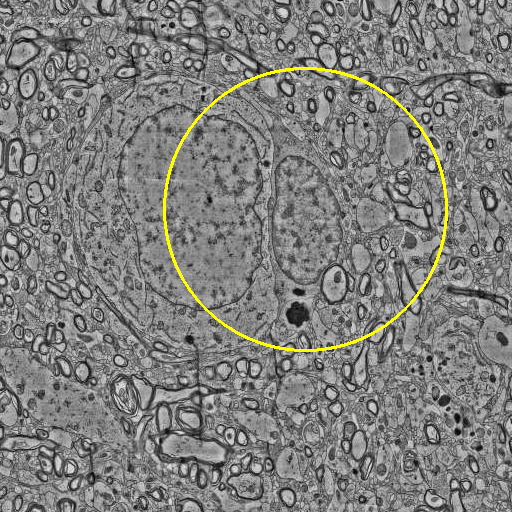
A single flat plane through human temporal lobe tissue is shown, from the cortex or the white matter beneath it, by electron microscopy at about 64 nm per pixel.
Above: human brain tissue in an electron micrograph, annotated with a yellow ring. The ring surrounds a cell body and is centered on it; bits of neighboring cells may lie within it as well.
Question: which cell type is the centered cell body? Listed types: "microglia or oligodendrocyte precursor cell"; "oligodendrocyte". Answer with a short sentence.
The centered cell body is an oligodendrocyte.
